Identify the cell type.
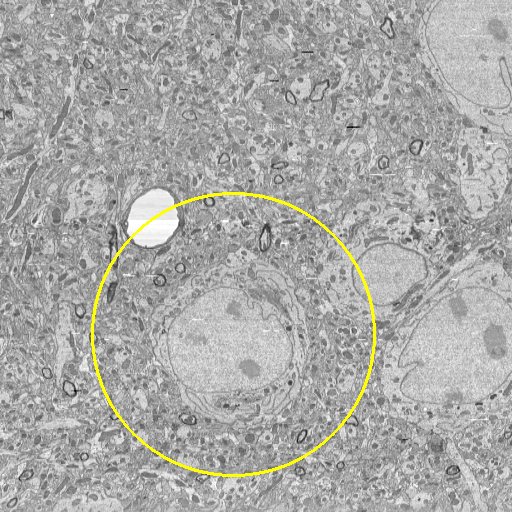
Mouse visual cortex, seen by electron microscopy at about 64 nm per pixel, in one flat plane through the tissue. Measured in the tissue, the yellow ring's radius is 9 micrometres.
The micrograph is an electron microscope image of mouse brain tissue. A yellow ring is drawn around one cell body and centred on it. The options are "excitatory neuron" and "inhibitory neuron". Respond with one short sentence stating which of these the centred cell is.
The cell body in the ring belongs to an inhibitory neuron.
